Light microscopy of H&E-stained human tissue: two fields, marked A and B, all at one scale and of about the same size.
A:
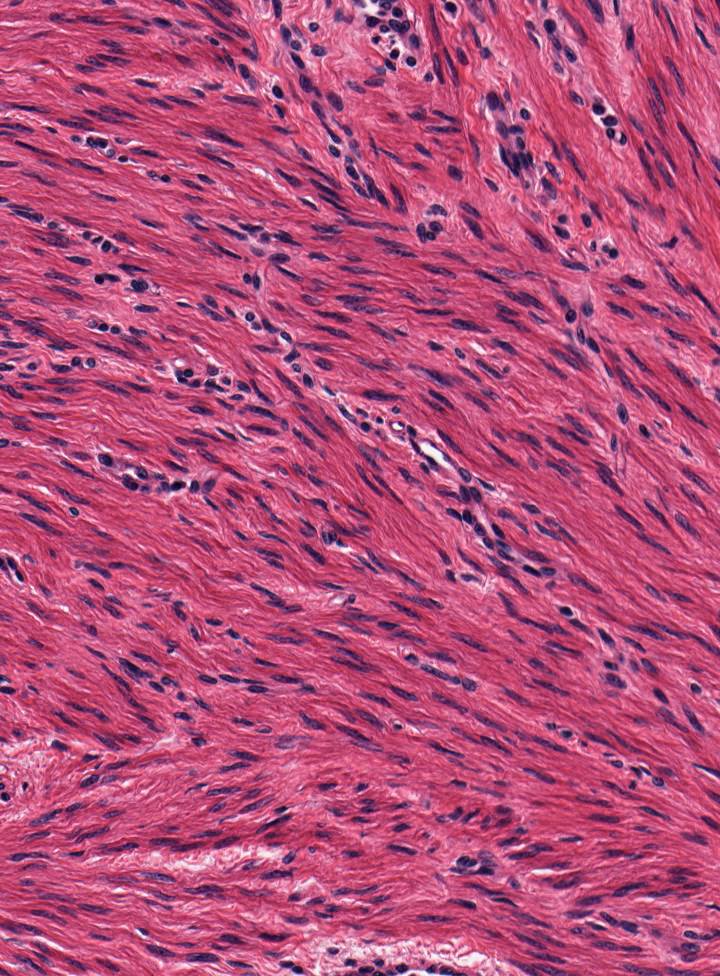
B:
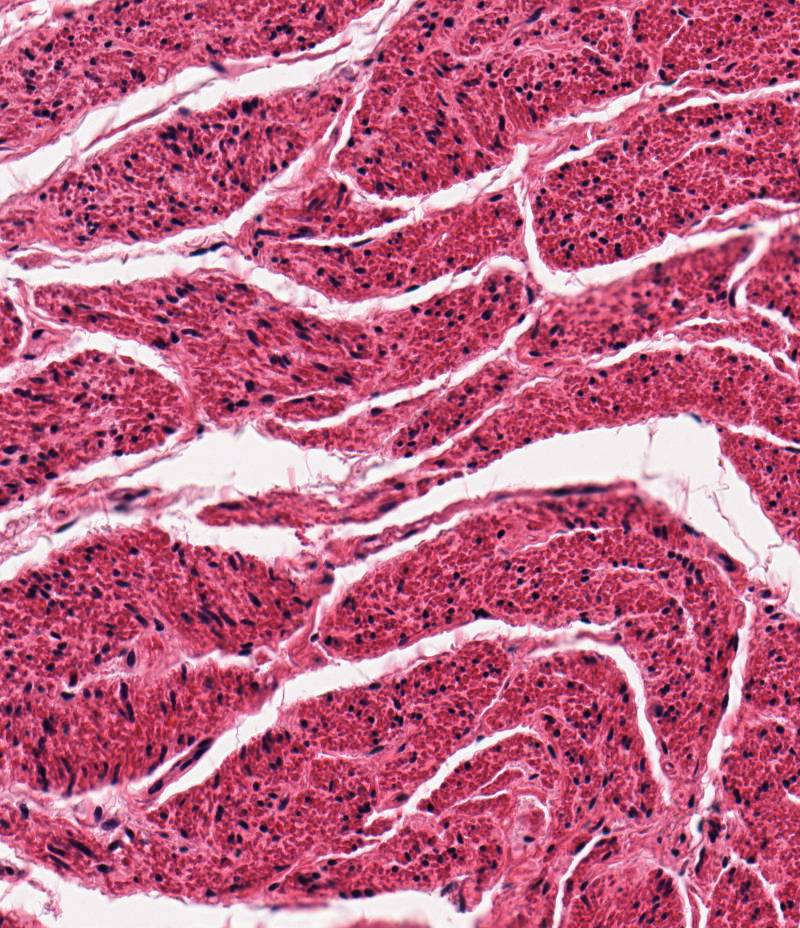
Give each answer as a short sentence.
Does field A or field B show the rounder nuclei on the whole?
On the whole the nuclei of field B are rounder than those of field A.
